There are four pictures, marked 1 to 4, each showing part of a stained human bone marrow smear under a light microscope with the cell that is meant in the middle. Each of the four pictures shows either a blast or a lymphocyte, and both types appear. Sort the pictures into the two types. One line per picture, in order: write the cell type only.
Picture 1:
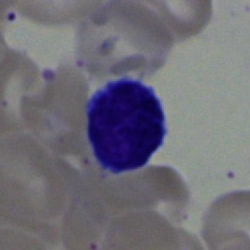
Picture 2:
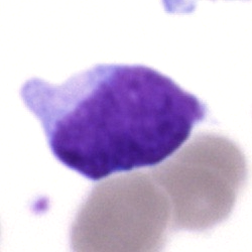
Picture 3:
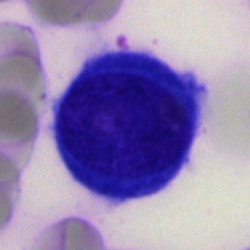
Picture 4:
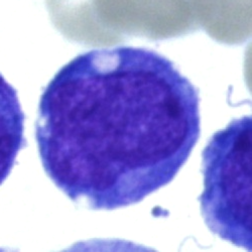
lymphocyte
blast
blast
blast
